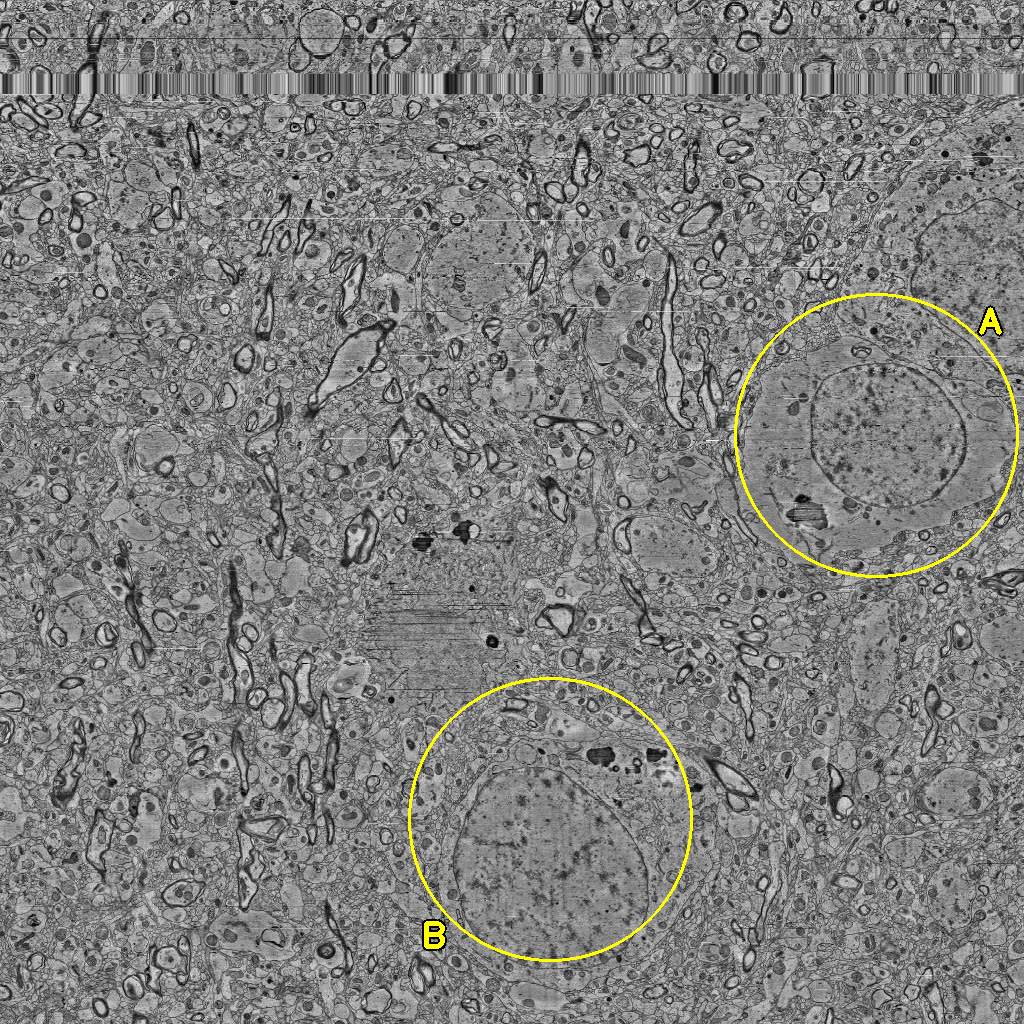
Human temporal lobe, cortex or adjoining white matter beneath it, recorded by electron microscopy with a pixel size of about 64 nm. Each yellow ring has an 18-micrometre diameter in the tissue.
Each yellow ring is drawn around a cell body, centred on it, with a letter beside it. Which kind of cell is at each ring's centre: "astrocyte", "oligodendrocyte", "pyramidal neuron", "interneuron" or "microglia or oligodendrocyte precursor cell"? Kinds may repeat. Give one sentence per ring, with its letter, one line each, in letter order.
Ring A is centred on an astrocyte.
Ring B is centred on a pyramidal neuron.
